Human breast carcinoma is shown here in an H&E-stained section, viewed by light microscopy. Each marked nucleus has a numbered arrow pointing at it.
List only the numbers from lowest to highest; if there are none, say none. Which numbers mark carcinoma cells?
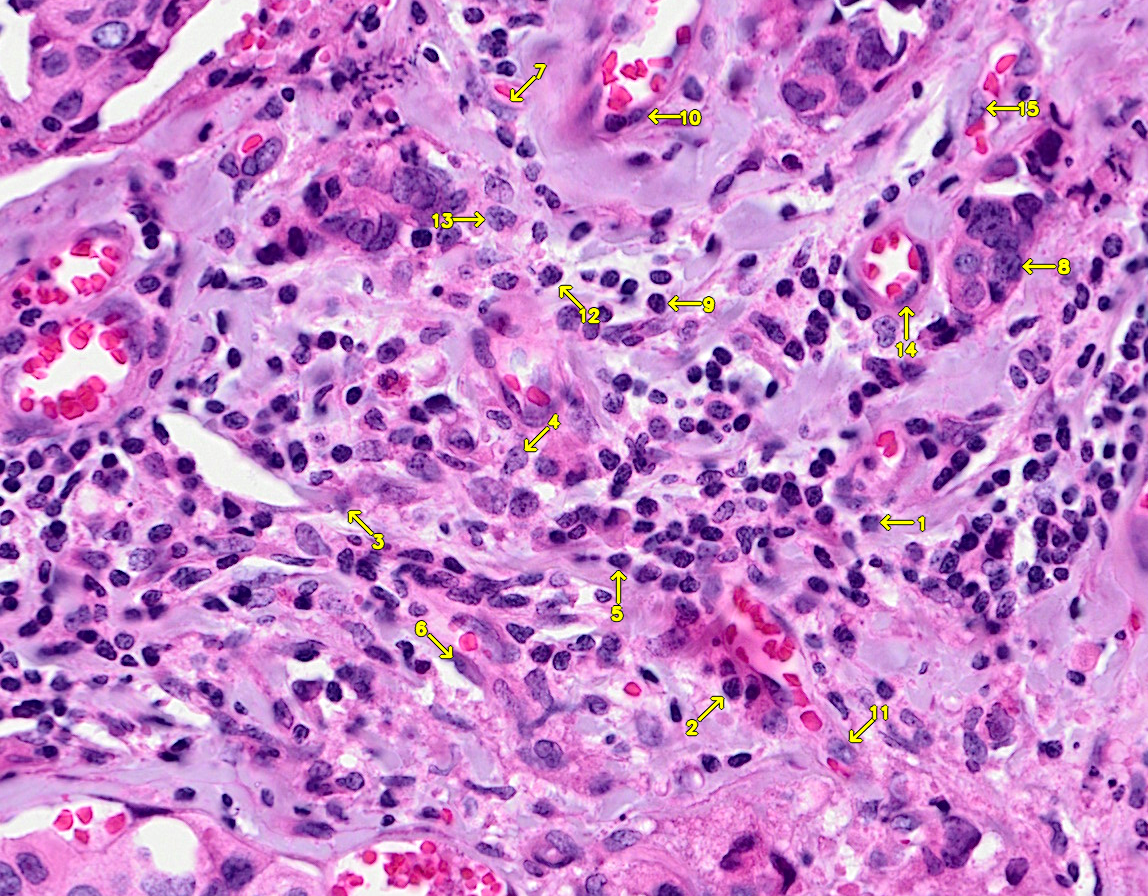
8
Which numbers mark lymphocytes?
1, 2, 5, 9, 12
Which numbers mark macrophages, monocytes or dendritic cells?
3, 4, 13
